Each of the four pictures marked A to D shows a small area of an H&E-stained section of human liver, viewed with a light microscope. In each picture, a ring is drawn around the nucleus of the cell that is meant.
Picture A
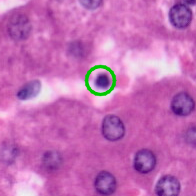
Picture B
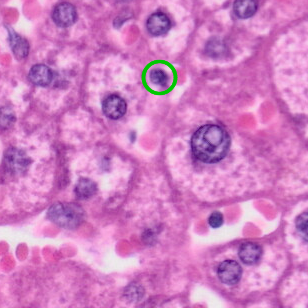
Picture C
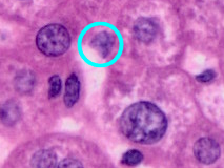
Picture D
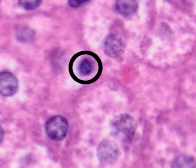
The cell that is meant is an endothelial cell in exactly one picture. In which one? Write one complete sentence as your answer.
It is picture C that shows the endothelial cell.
